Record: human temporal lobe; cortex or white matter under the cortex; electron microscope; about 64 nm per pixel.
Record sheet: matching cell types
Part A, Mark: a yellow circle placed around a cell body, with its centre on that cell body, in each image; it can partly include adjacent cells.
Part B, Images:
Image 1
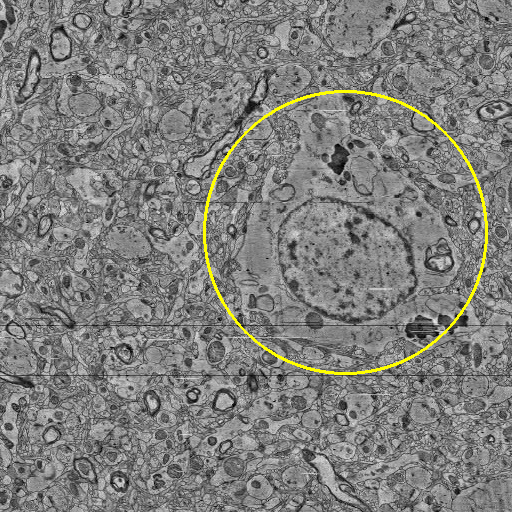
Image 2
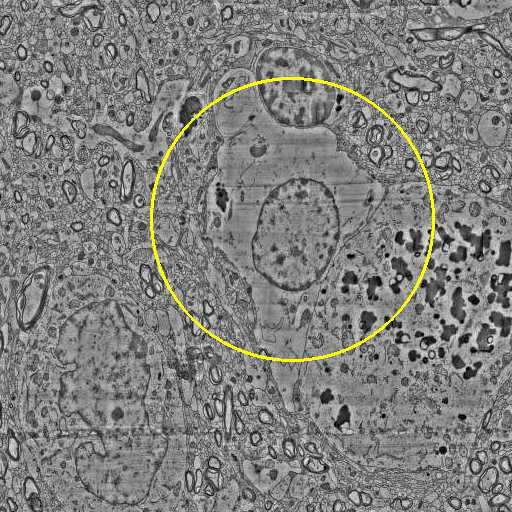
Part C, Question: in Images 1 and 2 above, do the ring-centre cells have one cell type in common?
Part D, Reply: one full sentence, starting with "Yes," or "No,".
Yes, the ring-centre cells of Image 1 and Image 2 are both of a single cell type.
